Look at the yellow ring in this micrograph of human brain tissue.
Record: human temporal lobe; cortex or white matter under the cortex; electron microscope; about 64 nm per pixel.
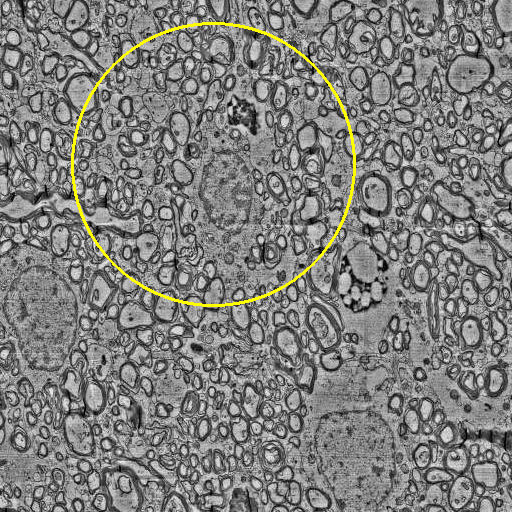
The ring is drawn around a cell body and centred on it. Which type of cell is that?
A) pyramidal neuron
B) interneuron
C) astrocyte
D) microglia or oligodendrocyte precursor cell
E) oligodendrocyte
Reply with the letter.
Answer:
E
